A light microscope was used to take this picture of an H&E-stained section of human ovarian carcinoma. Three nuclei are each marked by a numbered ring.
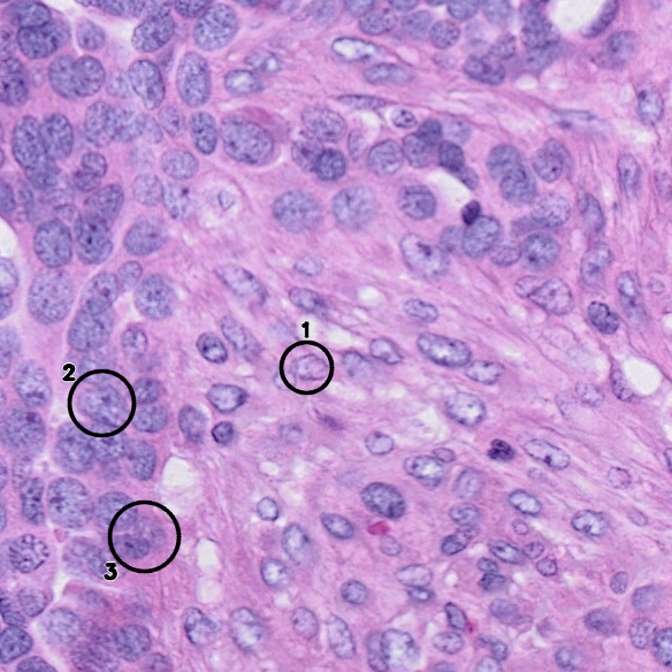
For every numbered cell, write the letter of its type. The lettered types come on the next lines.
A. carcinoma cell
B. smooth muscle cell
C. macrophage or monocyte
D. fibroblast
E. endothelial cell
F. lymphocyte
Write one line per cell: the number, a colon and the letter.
1: D
2: A
3: A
